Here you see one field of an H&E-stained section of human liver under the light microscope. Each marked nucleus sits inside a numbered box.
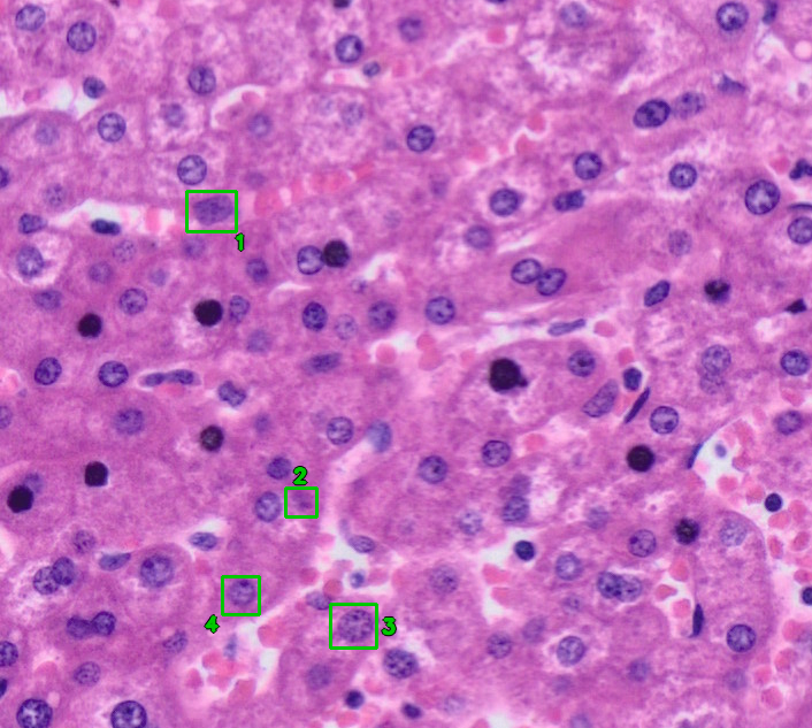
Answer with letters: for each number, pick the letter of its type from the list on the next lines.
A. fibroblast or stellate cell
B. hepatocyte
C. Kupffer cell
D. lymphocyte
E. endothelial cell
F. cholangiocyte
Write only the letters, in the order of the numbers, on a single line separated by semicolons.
E; B; B; B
